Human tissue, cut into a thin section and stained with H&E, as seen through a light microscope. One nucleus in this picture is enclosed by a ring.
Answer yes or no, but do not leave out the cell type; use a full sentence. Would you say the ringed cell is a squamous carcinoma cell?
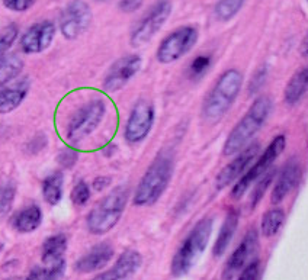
Yes, to put it simply, the ringed cell is a squamous carcinoma cell.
